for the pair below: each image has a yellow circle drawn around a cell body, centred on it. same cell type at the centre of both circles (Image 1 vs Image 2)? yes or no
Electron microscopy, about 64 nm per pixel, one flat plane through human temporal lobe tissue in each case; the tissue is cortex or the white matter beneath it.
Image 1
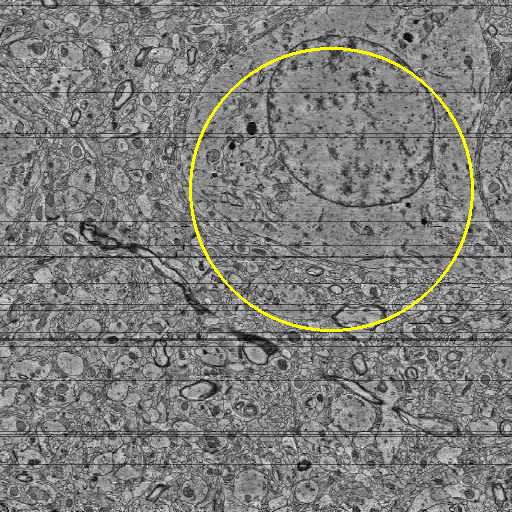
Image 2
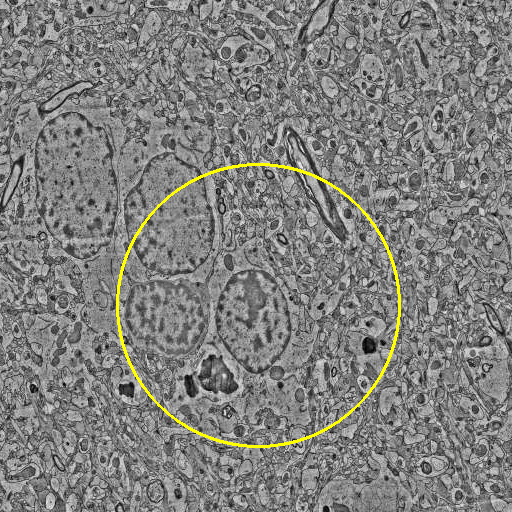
no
